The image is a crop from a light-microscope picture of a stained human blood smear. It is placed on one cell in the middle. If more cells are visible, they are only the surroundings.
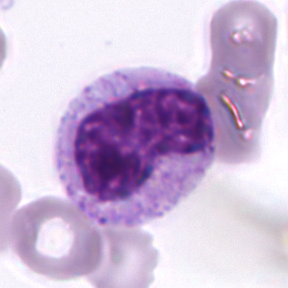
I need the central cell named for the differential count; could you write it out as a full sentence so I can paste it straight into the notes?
What sits at the centre of this crop is a metamyelocyte.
